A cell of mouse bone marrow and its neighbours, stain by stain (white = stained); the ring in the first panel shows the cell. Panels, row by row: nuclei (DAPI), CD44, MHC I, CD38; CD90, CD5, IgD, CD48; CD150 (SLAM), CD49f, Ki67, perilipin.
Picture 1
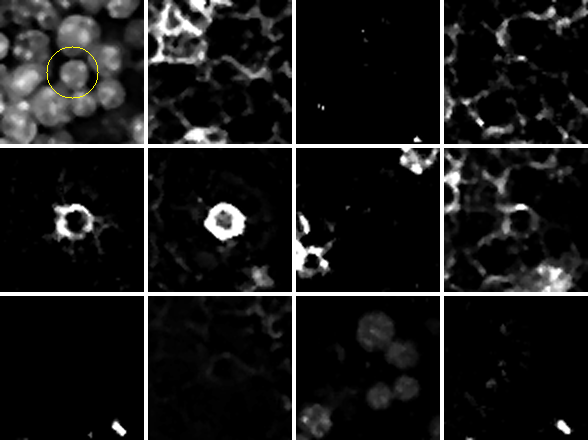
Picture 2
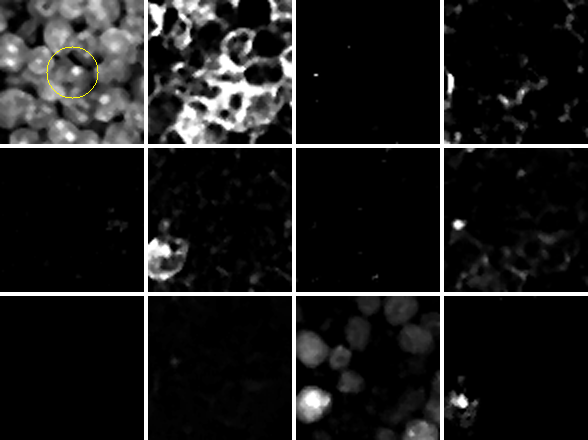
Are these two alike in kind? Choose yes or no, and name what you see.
No. First a T cell, second a neutrophil.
